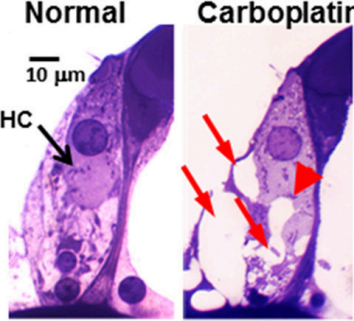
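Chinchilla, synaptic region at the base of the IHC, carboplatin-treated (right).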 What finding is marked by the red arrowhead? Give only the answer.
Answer: Swelling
